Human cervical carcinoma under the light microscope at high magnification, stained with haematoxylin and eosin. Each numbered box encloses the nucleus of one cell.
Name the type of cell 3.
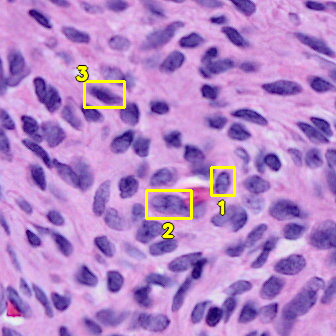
fibroblast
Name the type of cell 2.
endothelial cell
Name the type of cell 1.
endothelial cell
